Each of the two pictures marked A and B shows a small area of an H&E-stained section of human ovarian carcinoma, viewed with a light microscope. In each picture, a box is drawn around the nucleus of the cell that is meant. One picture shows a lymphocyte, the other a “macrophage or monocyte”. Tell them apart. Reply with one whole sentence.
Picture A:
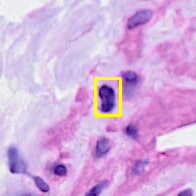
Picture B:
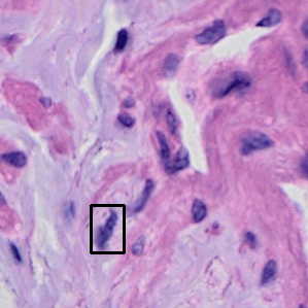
The cell in picture A is a lymphocyte, and the one in picture B is a “macrophage or monocyte”.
